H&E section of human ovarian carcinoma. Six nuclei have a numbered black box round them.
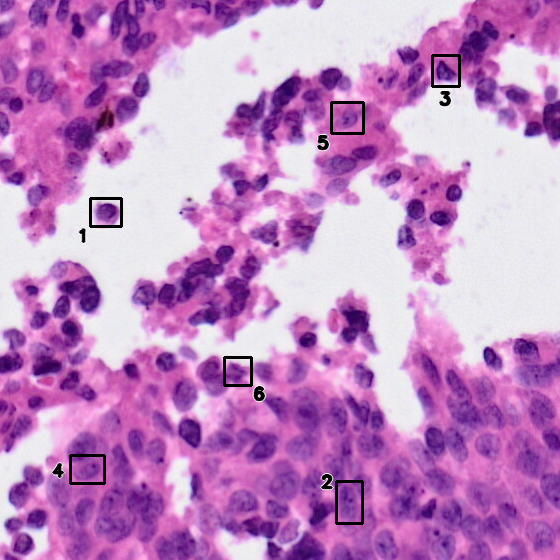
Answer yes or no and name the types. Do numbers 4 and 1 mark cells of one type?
Yes, it is as carcinoma cells that cells 4 and 1 are both classified.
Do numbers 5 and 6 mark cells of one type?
No, cell 5 is interpreted as a macrophage or monocyte, and cell 6 is interpreted as a carcinoma cell.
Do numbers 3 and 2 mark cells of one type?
No, cell 3 is categorized as a macrophage or monocyte, while cell 2 is categorized as a carcinoma cell.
